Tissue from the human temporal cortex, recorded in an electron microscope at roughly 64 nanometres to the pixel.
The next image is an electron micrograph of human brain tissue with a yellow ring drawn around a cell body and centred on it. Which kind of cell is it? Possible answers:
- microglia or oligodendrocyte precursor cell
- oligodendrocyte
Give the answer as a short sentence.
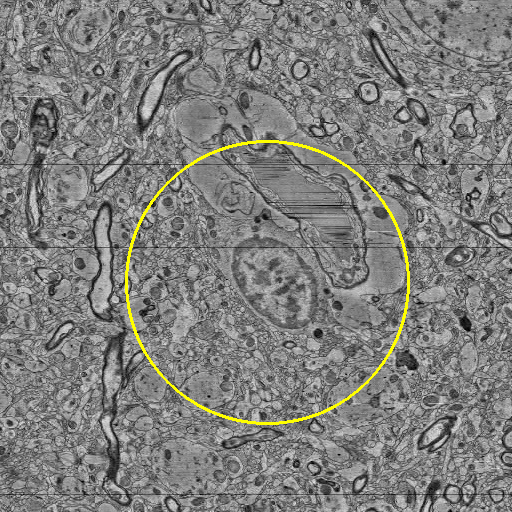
In the ring's centre is an oligodendrocyte.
